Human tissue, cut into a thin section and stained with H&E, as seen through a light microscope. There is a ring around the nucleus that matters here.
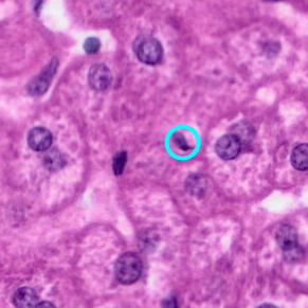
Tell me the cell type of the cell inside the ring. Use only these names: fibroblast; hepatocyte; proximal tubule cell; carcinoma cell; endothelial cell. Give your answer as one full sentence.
For the purposes of cell typing, the cell inside the ring is categorized as an endothelial cell.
